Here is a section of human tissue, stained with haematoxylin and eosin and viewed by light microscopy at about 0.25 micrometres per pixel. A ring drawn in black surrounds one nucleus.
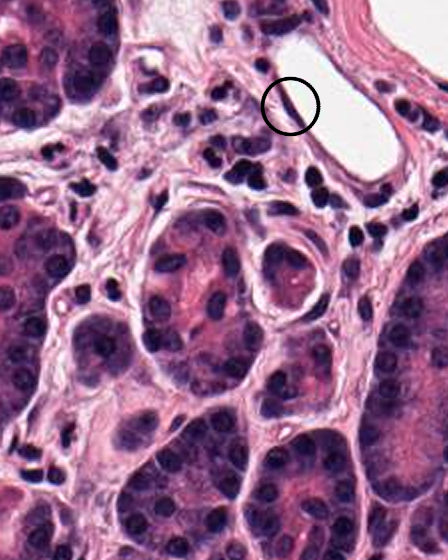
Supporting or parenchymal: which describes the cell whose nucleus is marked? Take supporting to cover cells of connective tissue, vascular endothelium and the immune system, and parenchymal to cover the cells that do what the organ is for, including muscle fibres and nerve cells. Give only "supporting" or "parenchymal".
supporting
